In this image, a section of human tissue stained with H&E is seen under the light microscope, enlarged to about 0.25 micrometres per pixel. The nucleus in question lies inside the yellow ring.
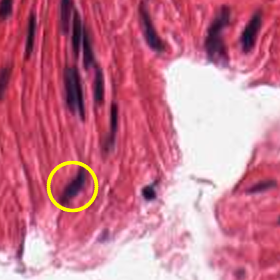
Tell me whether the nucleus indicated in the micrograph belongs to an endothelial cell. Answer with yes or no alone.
no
